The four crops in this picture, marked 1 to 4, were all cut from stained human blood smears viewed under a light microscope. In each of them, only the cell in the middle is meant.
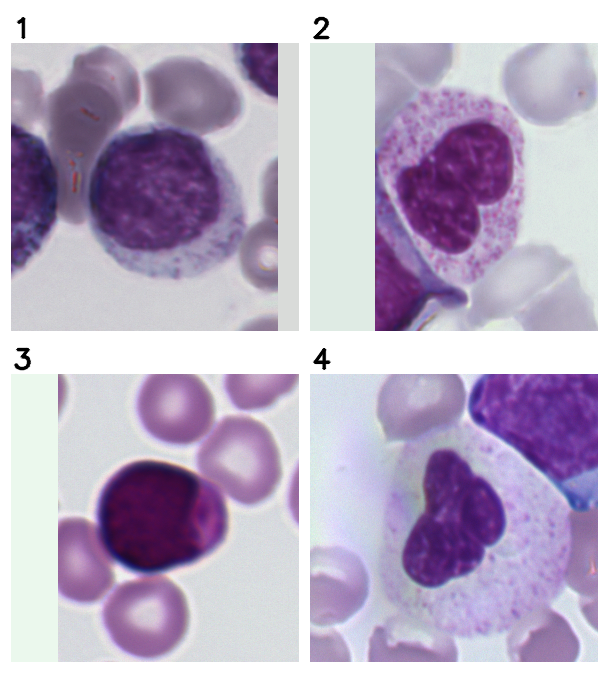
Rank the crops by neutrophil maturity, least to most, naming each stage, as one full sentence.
Ranked from least to most mature, the sequence is crop 3 (a blast), crop 1 (a myelocyte), crop 2 (a band neutrophil) and crop 4 (a segmented neutrophil).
